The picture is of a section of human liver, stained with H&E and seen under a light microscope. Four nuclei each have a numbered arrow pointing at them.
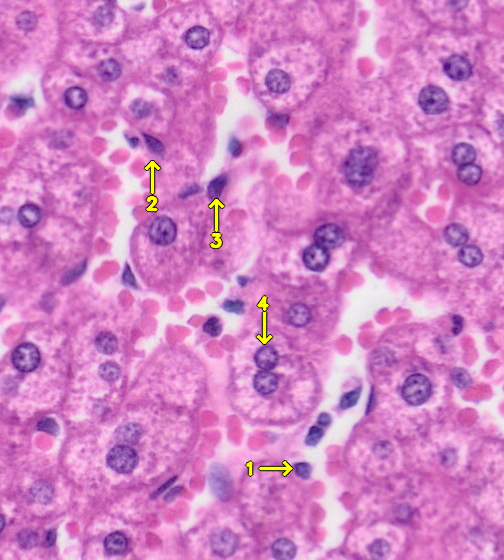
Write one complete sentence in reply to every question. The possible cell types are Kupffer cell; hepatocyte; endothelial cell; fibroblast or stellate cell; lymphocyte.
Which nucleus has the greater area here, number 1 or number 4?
The larger nucleus is 4, at roughly 1.5 times the area of 1.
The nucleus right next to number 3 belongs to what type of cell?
The nucleus nearest to number 3 is that of a fibroblast or stellate cell.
